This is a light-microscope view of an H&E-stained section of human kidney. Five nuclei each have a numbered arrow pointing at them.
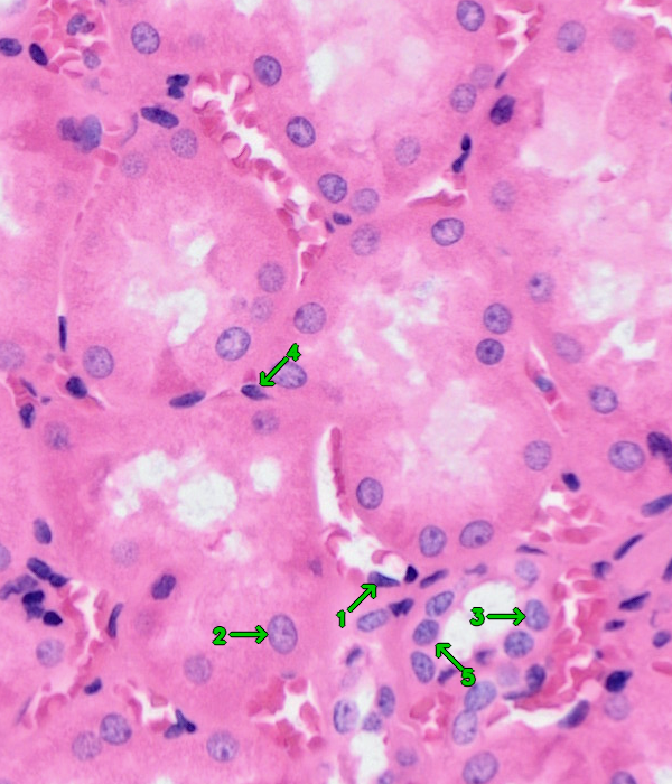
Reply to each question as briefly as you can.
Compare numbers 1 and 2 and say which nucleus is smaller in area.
1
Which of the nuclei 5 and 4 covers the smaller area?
4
